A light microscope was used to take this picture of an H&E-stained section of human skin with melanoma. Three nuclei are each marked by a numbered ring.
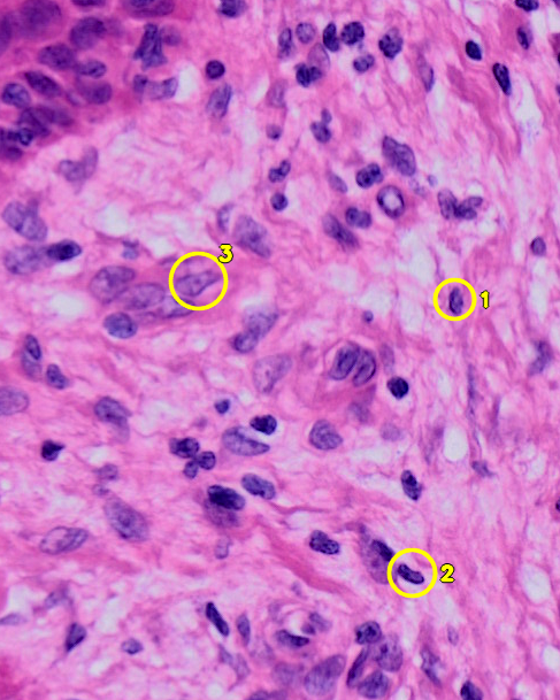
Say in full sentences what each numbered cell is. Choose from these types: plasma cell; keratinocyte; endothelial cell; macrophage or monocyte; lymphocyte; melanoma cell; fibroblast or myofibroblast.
Cells 1 and 2 are lymphocytes. Cell 3 is an endothelial cell.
